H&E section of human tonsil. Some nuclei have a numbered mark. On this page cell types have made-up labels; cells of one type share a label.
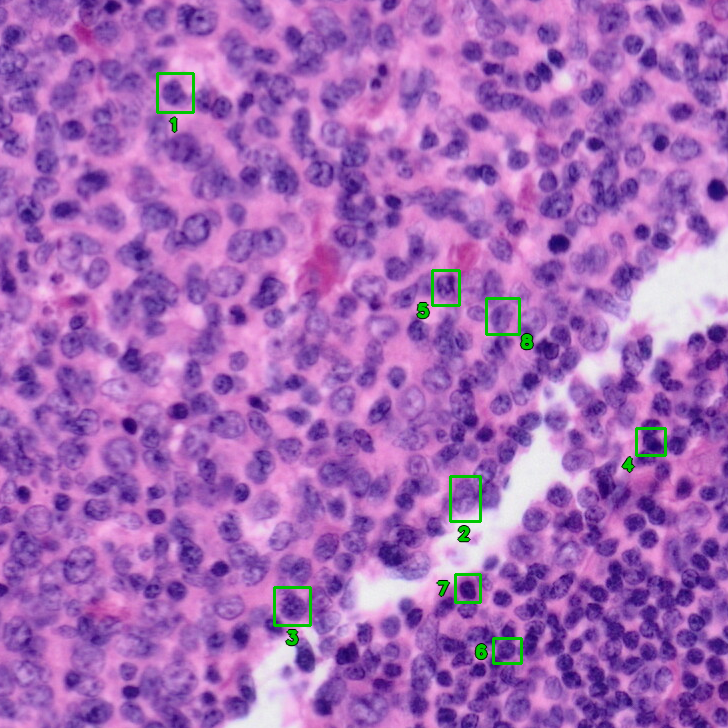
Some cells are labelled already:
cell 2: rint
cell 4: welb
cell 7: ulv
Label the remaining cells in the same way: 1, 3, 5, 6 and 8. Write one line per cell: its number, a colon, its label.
1: rint
3: rint
5: rint
6: welb
8: rint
